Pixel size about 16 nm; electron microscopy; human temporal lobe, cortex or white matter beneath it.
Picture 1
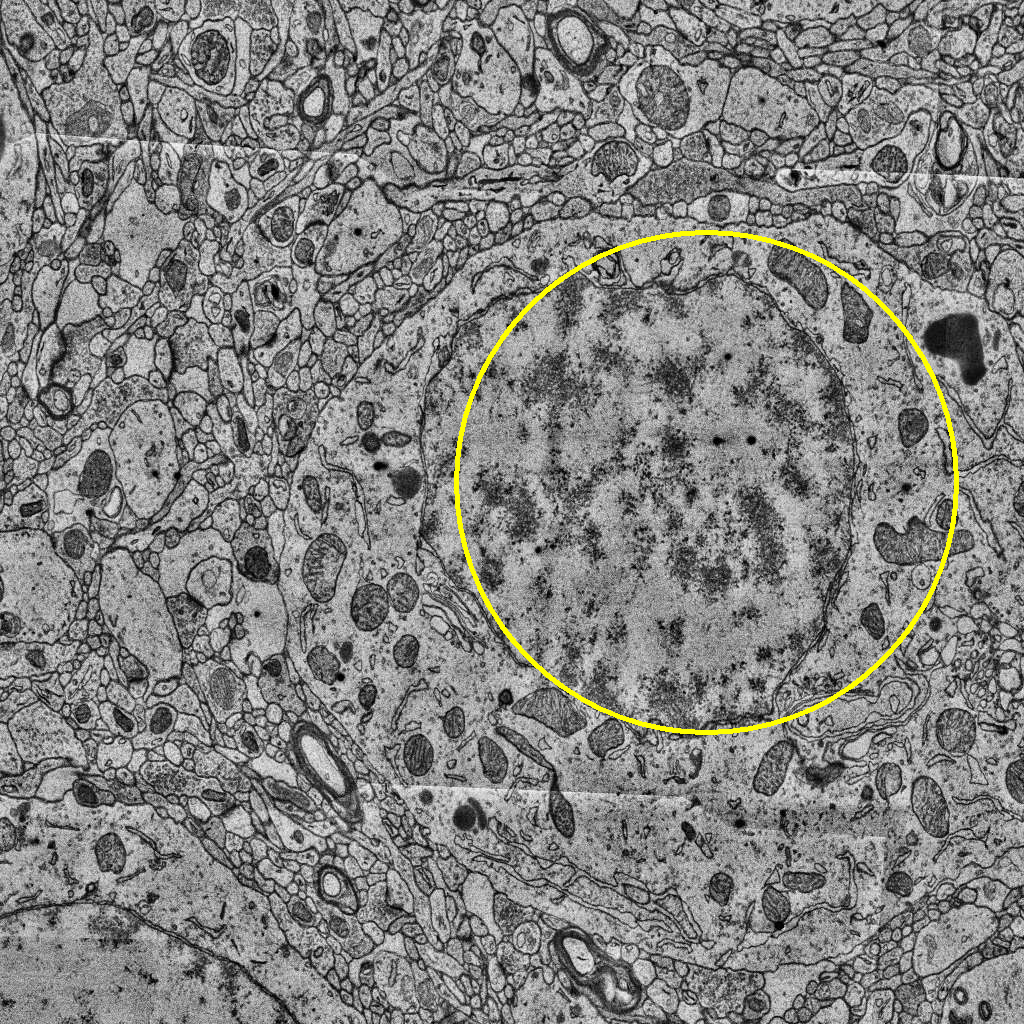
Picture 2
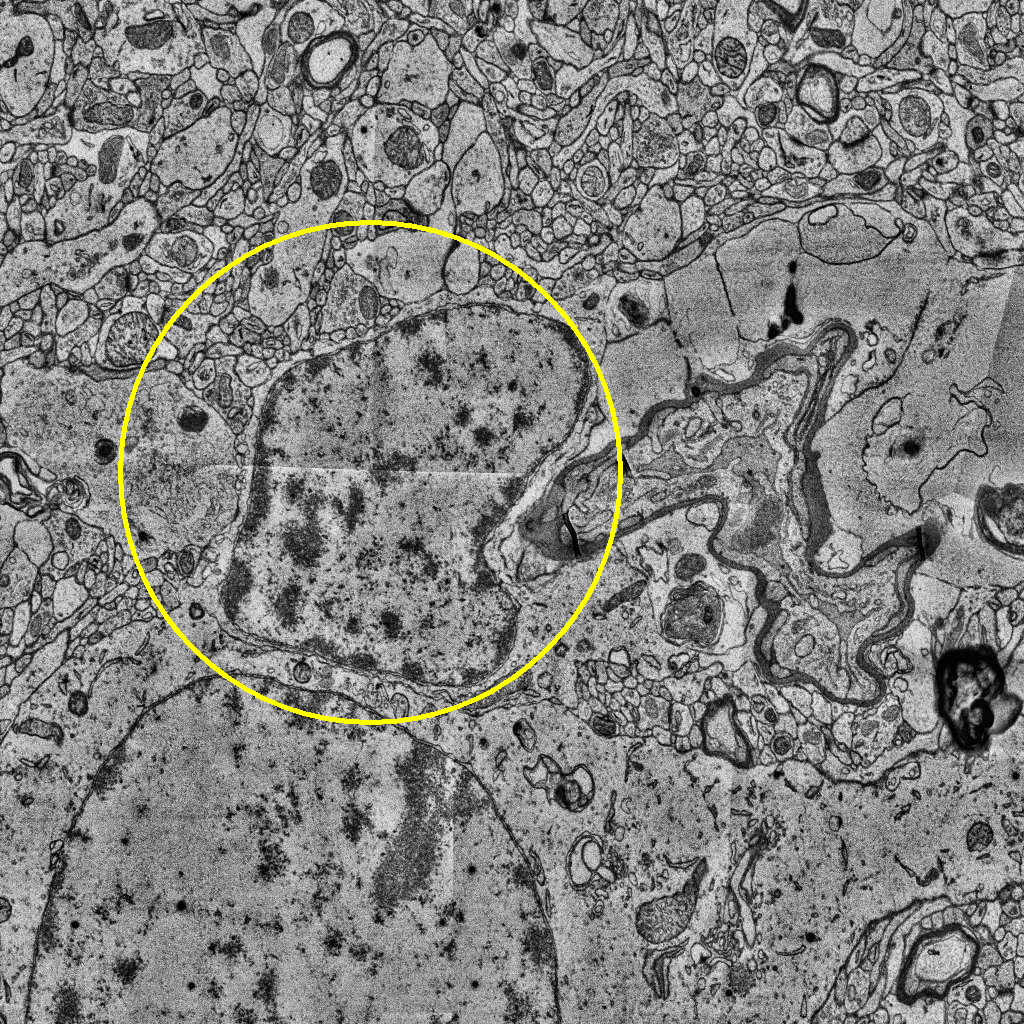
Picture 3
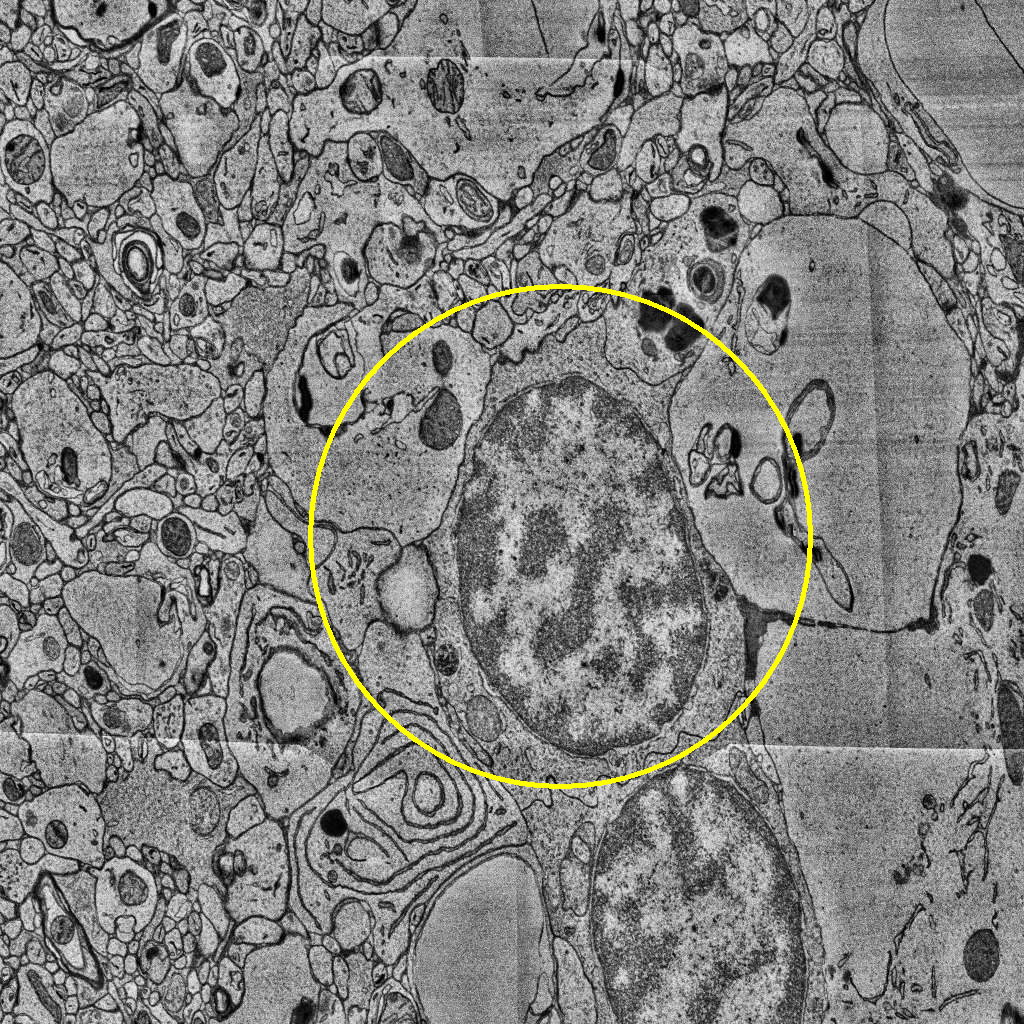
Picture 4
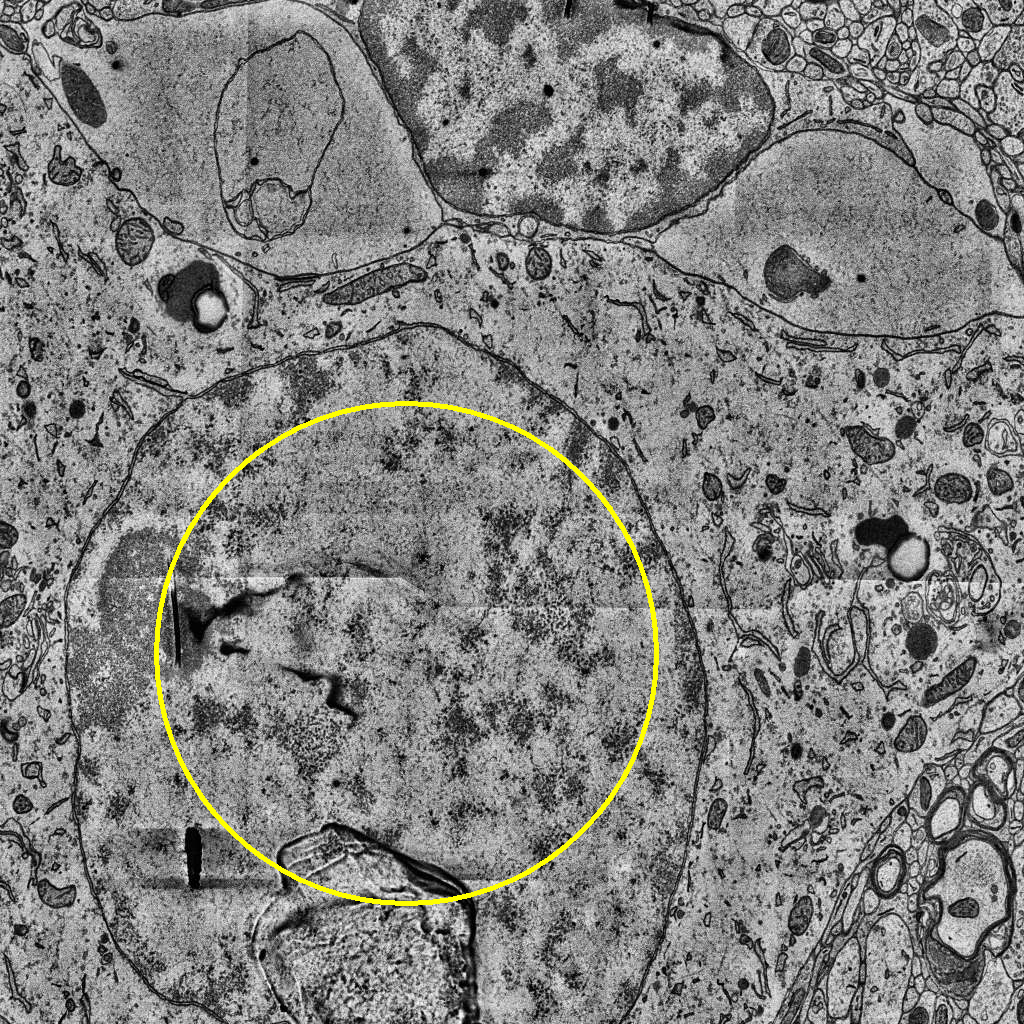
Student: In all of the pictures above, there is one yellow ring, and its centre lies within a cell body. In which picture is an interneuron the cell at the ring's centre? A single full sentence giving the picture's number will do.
Picture number 1 has the centre of its ring lying inside the wanted cell.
